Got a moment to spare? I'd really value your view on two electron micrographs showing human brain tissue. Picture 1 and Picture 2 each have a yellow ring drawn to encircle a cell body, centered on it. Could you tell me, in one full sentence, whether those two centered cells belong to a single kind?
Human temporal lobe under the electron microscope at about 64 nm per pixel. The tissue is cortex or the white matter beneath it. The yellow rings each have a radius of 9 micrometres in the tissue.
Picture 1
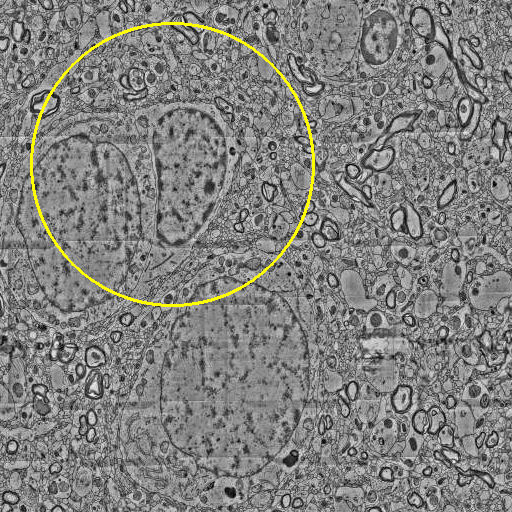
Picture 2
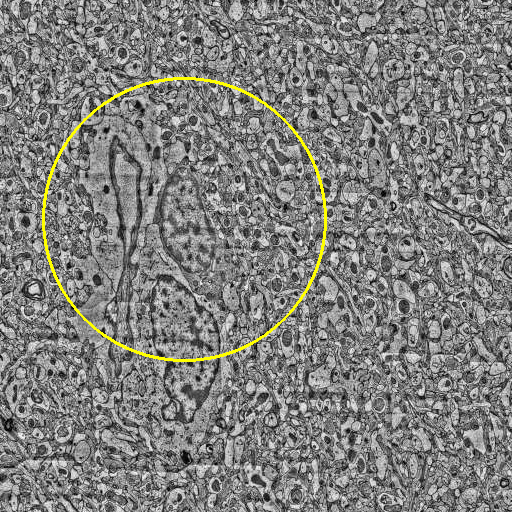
No, the two centered cells in Picture 1 and Picture 2 are of two kinds.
